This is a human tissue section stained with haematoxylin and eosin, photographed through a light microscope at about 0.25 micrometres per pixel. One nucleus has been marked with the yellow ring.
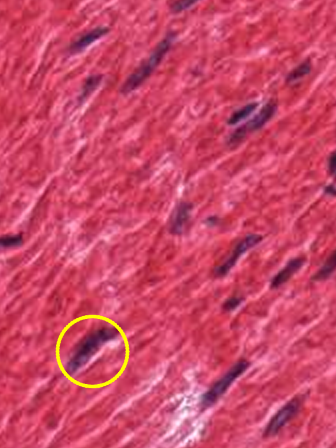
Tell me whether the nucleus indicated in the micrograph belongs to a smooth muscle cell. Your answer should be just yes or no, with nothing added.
yes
